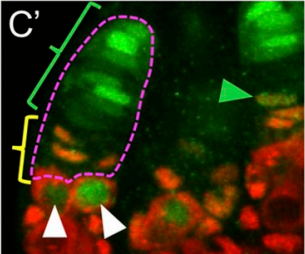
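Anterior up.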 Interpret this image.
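This ovary shows a niche of terminal filament cells and cap cells with germ cells beneath it. The terminal filament forms a column of stacked cells filled with green, with flat nuclei lying across it. At its base the cap cells have red nuclei. Directly under them lie large round germ cells with red cytoplasm surrounding a green nucleus. Further below, more large germ cells with red cytoplasm fill the lower part of the field. A second, similar column stands to the right.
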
